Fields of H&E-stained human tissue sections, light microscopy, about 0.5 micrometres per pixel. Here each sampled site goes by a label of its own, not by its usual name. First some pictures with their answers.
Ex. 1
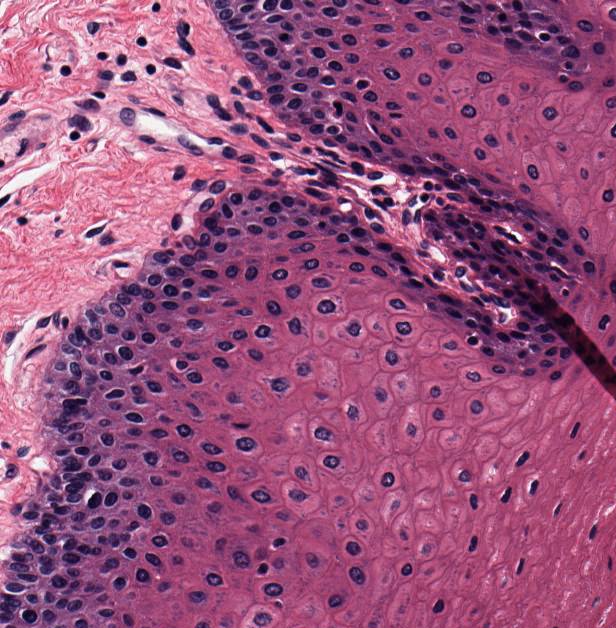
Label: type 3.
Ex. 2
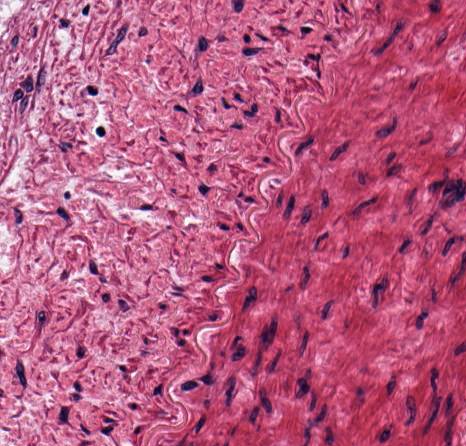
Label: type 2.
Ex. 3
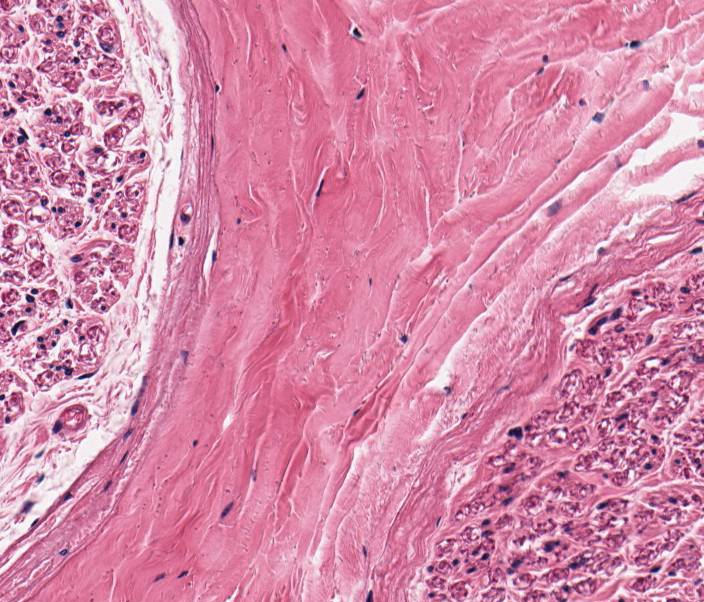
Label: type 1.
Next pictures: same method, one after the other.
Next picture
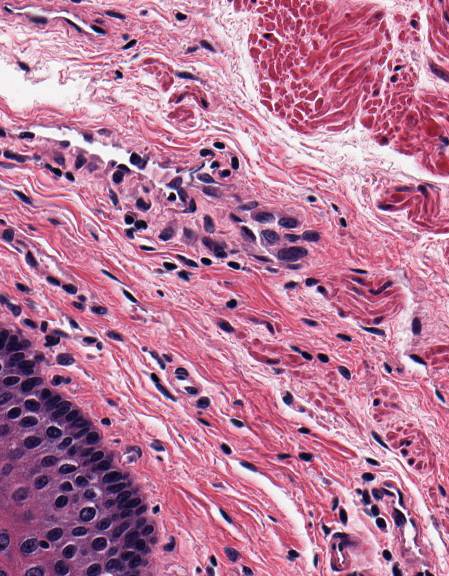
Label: type 3.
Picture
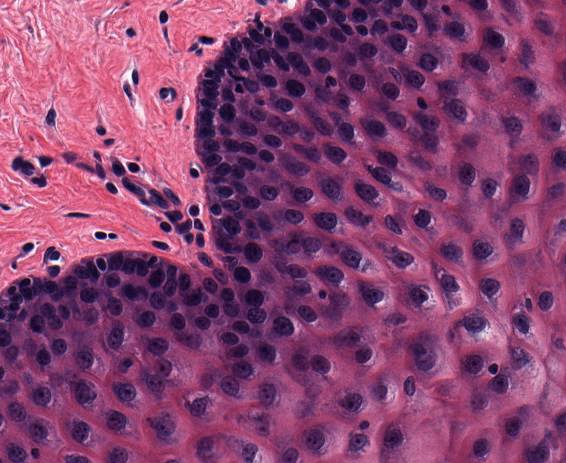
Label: type 3.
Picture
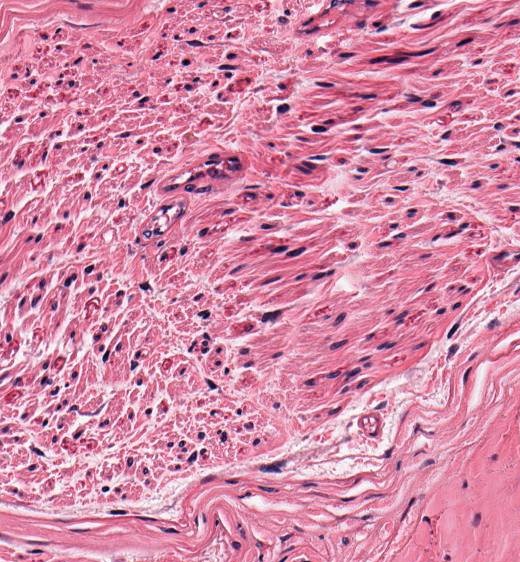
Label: type 1.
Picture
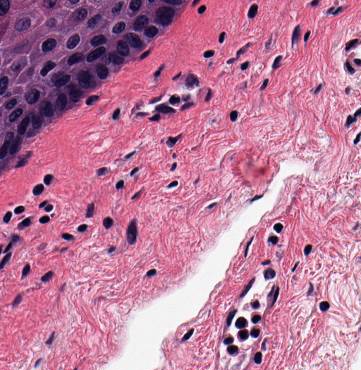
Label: type 3.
